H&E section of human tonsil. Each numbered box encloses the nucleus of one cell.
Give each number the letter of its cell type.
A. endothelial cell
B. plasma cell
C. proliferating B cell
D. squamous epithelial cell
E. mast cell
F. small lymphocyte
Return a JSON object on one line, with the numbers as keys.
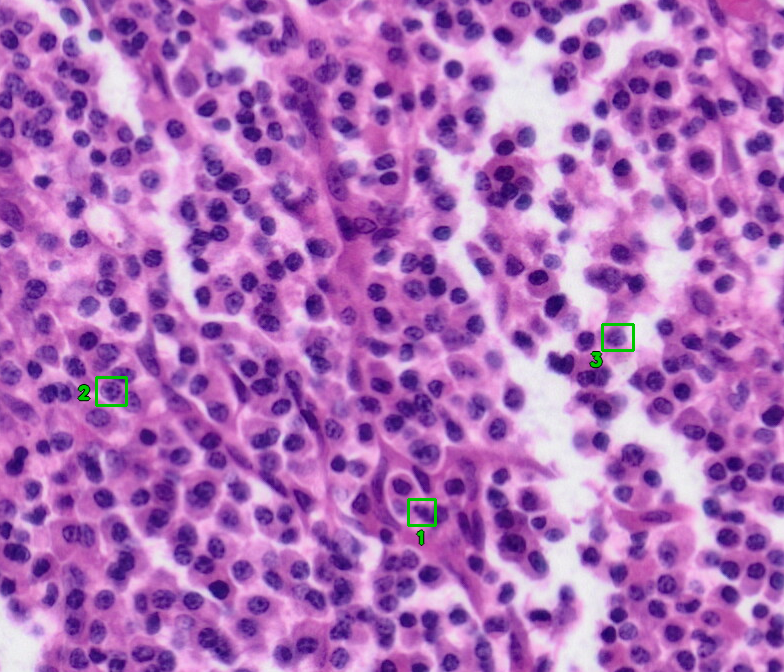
{"1": "D", "2": "B", "3": "B"}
